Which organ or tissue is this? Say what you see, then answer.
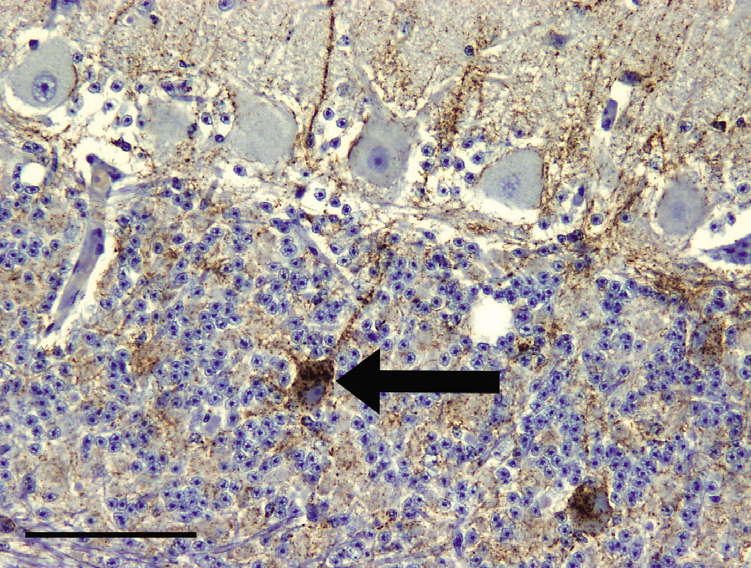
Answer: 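A single row of large neuron cell bodies with pale cytoplasm runs across the upper part. Above this row lies a fibrous layer with few nuclei. Below this row lies a thick layer of densely packed small round nuclei. That points to this answer: cerebellar cortex.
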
